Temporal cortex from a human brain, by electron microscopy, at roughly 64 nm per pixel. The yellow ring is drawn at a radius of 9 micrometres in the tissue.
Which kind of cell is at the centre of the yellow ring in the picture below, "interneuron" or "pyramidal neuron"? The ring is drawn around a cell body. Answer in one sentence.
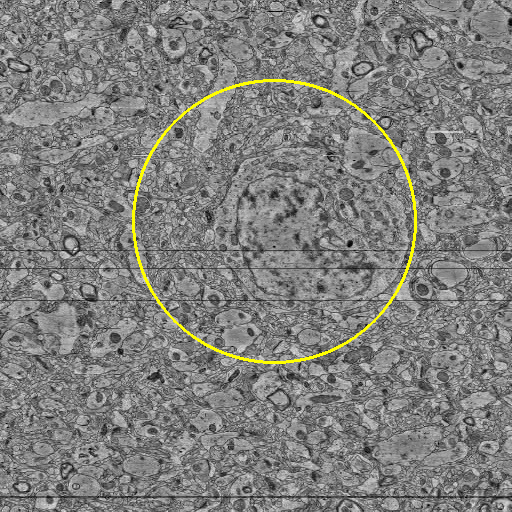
The ring's central cell is an interneuron.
